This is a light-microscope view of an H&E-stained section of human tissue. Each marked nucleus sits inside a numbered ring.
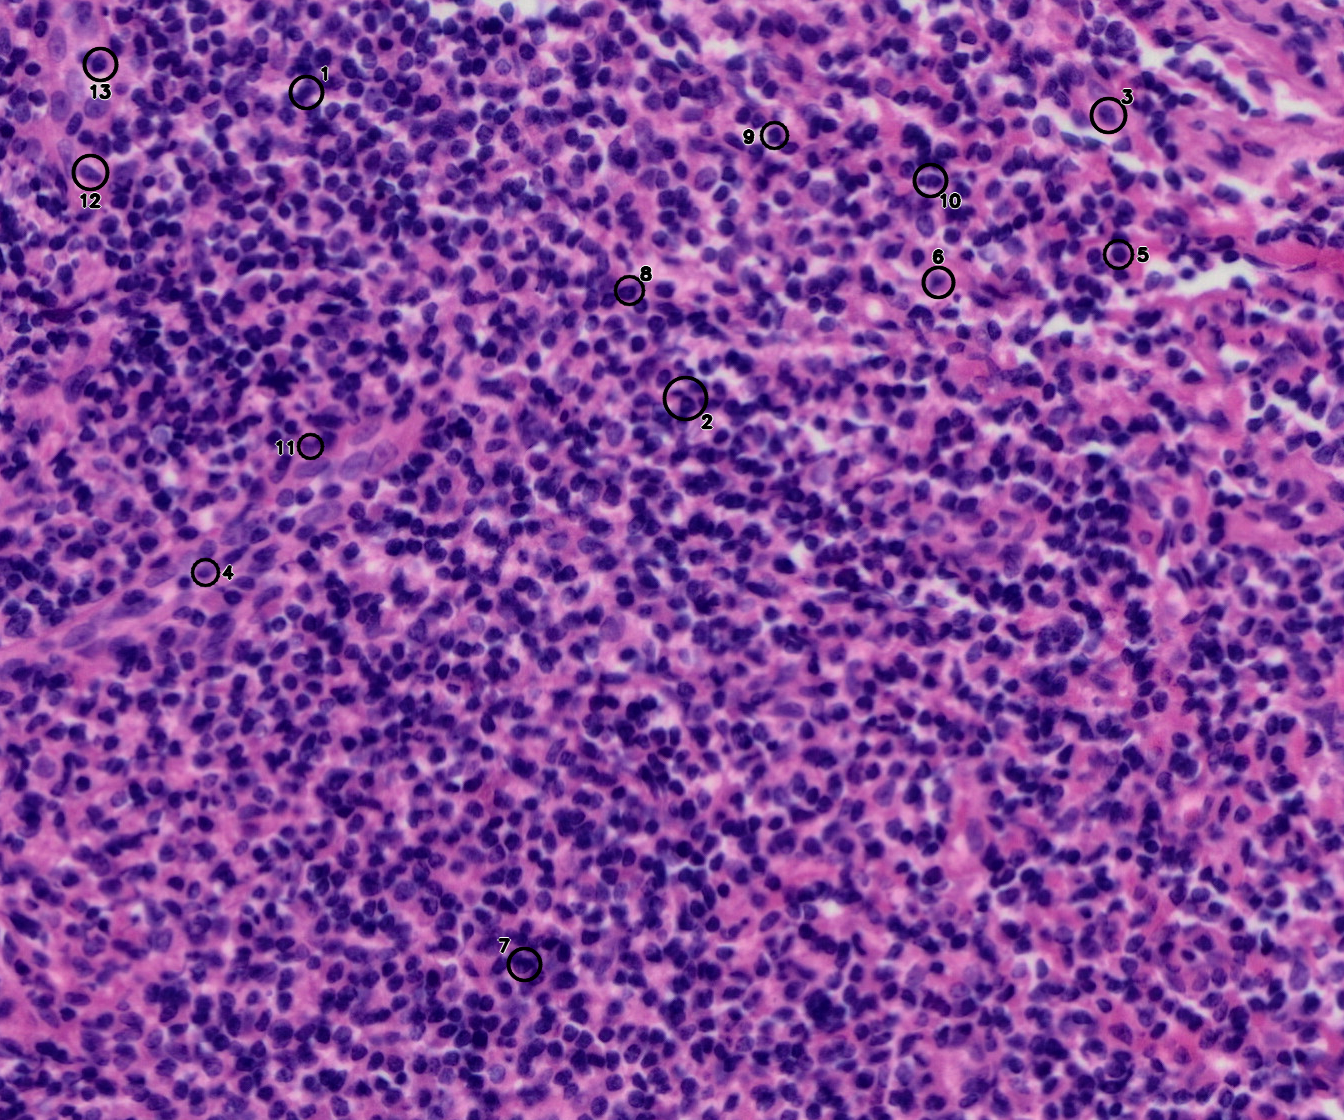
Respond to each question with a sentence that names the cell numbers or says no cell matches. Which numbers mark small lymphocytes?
The cells numbered 1, 2, 5, 7, 8, 9 and 10 fall into the category of small lymphocytes.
